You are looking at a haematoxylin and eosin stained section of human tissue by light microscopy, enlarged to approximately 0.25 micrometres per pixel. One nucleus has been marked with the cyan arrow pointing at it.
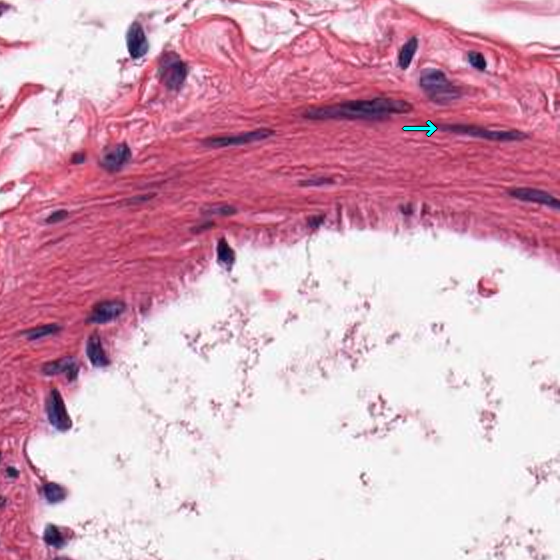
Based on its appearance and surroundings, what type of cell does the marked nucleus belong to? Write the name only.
smooth muscle cell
